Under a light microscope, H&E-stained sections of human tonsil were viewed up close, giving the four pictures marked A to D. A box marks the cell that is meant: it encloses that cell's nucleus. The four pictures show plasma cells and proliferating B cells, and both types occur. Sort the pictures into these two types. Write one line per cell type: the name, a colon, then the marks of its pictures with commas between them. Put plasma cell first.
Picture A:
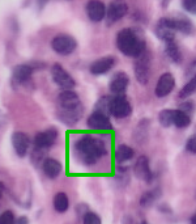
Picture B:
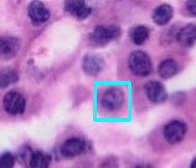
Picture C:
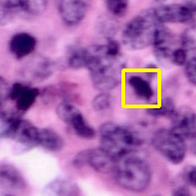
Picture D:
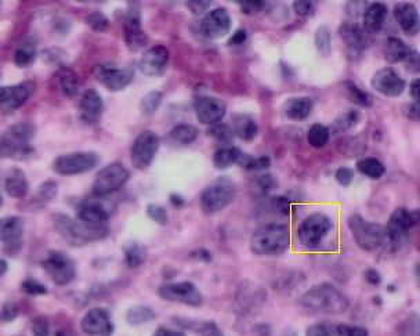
plasma cell: B
proliferating B cell: A, C, D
